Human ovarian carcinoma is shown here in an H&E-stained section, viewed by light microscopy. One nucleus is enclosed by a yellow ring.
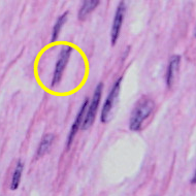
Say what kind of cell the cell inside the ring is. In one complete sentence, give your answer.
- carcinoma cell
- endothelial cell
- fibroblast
In cell-type terms, the cell inside the ring is a fibroblast.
